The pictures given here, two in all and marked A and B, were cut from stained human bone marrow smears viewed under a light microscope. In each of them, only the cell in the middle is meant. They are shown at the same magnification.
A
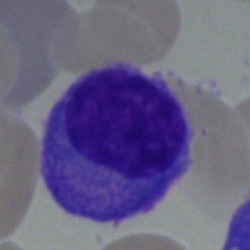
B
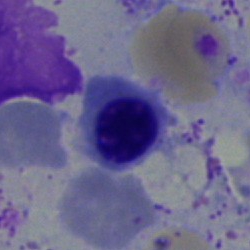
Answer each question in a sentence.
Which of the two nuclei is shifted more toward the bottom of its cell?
Seen within its cell, the nucleus in crop B lies further toward the bottom.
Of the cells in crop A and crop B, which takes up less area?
Crop B holds the smaller cell, since the cell in crop A covers about 3 times as much area.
